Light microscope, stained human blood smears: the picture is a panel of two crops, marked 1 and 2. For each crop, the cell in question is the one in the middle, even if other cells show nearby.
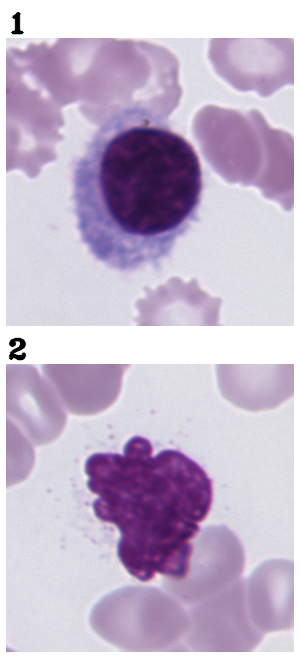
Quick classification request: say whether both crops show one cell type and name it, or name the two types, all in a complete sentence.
No, a hairy cell is centred in crop 1, and a smudge cell is centred in crop 2.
